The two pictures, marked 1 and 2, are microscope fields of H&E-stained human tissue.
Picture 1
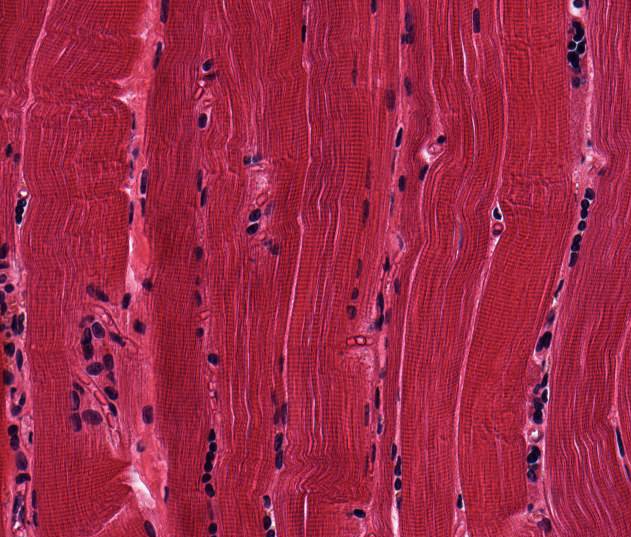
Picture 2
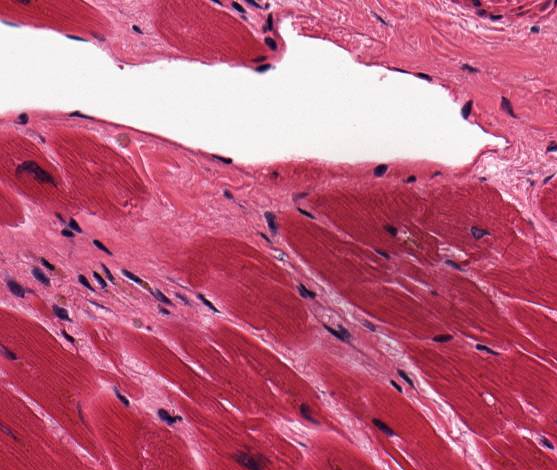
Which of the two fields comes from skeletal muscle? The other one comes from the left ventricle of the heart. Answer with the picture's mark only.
1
